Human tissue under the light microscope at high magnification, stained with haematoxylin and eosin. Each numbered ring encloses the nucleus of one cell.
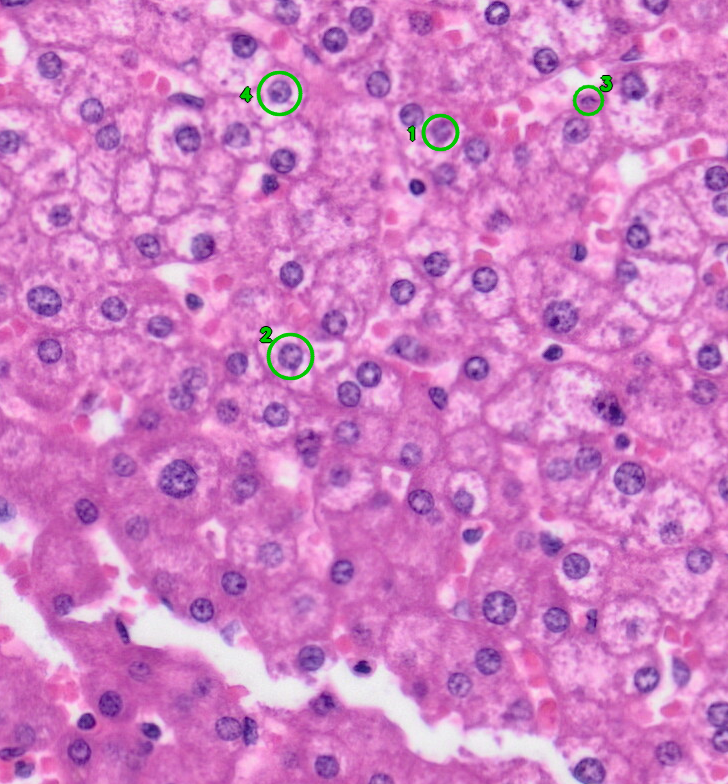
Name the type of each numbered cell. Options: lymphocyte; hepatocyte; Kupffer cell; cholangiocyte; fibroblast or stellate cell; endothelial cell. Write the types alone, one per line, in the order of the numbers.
hepatocyte
hepatocyte
Kupffer cell
hepatocyte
